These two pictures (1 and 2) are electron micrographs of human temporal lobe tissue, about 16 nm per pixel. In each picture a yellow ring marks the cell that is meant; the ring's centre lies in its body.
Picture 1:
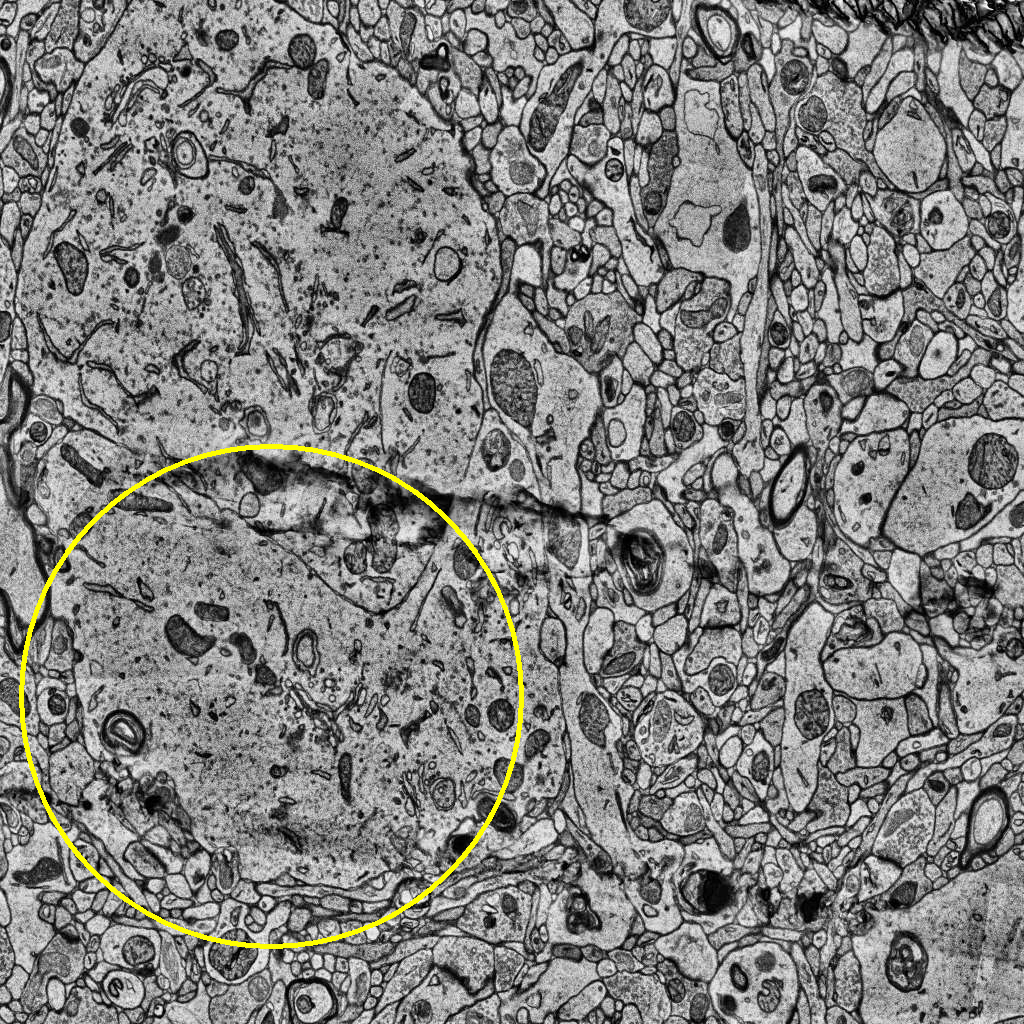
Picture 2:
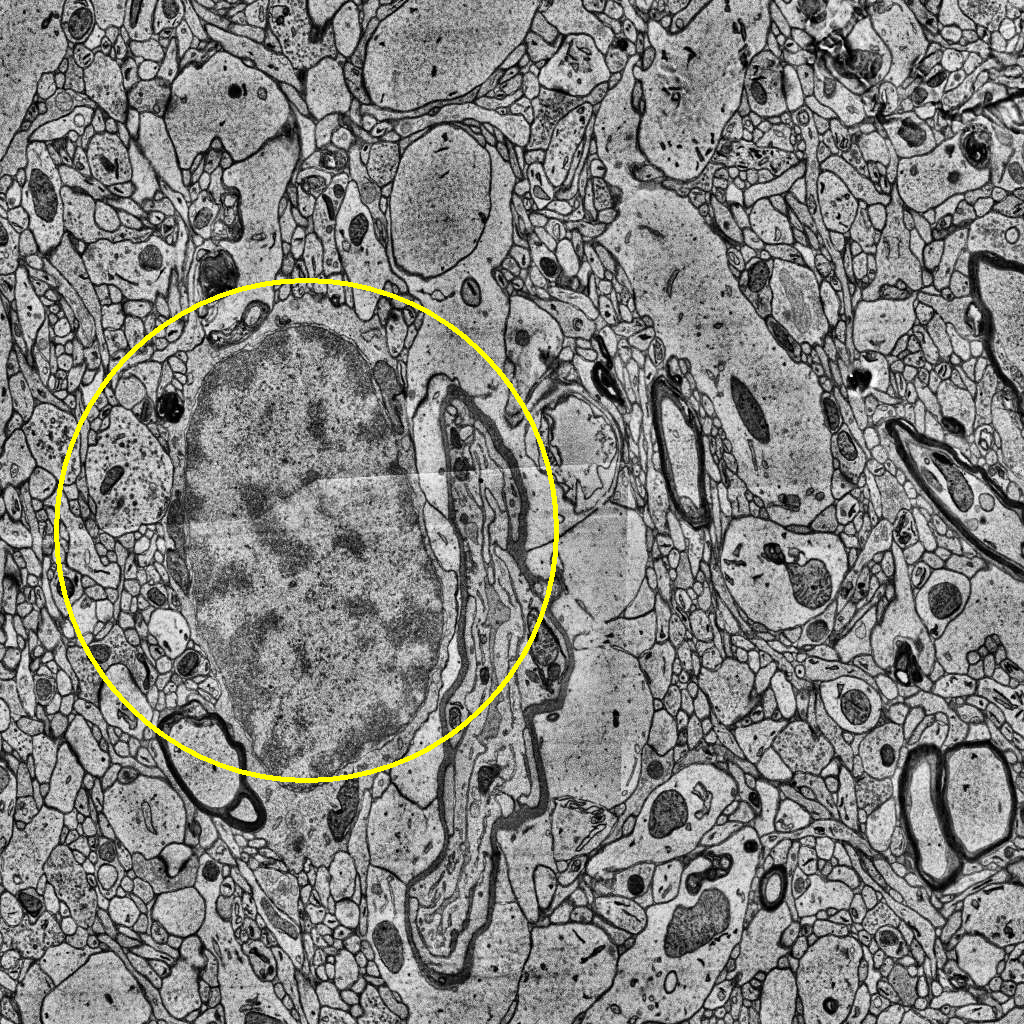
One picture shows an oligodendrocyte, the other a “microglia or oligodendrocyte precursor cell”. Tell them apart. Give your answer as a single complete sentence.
It is picture 1 that shows a “microglia or oligodendrocyte precursor cell”, and picture 2 that shows an oligodendrocyte.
